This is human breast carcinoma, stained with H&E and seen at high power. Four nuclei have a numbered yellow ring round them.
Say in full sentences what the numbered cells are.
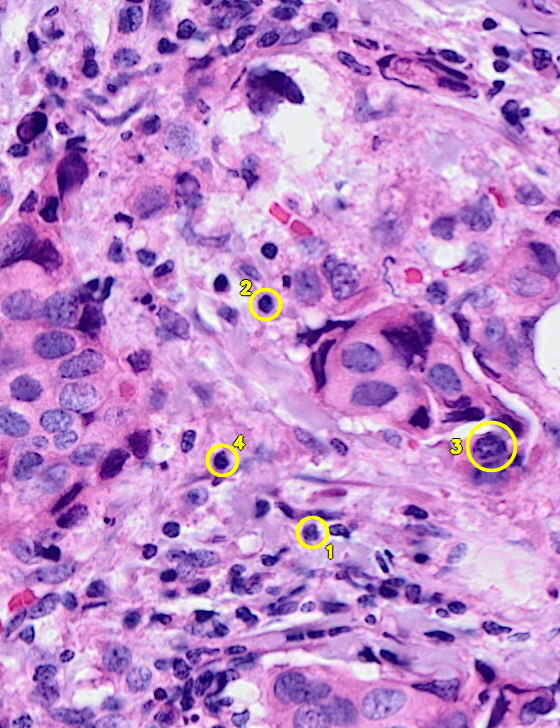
Cell 1 is a lymphocyte, cell 2 is a lymphocyte, cell 3 is a carcinoma cell and cell 4 is a lymphocyte.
